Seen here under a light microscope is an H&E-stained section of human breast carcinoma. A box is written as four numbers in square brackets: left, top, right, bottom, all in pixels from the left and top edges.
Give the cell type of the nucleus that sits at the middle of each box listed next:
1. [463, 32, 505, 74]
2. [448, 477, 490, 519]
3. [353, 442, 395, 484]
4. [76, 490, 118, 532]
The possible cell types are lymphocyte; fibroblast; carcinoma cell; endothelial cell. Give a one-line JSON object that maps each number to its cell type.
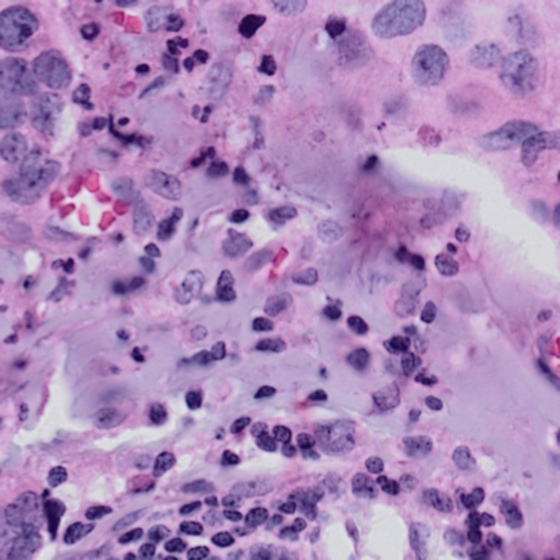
{"1": "carcinoma cell", "2": "lymphocyte", "3": "lymphocyte", "4": "lymphocyte"}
